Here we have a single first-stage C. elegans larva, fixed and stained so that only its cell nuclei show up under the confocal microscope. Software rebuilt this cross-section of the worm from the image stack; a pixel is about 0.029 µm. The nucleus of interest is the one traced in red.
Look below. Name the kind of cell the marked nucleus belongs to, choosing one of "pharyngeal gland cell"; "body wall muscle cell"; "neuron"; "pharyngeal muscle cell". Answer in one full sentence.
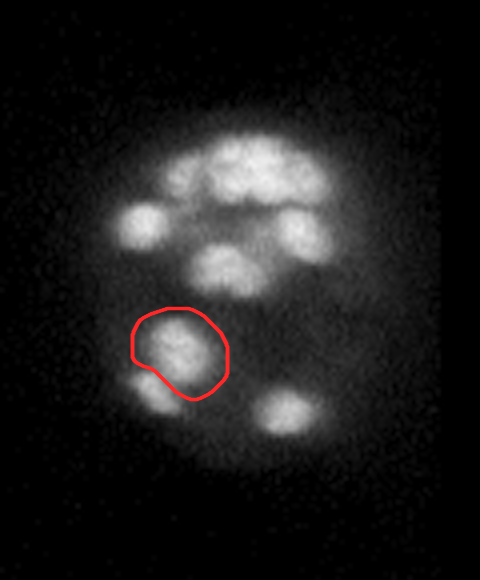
The nucleus comes from a pharyngeal gland cell.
